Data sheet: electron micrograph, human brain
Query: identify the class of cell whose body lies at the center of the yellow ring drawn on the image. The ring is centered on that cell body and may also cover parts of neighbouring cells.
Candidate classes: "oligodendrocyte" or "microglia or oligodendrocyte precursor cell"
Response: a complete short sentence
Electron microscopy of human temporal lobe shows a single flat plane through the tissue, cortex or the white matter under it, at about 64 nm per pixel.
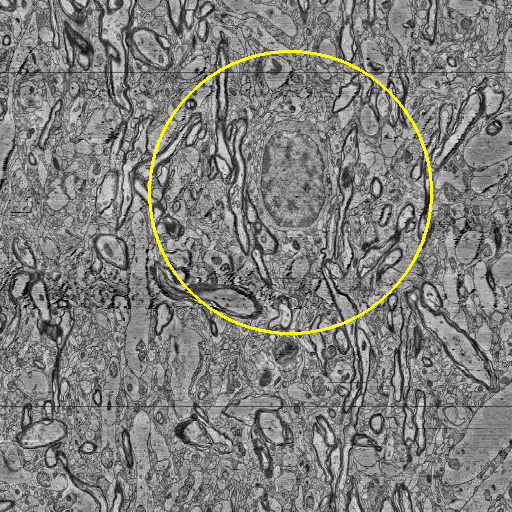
At the center of the ring lies an oligodendrocyte.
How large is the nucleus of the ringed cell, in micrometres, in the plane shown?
About 6 by 4 micrometers for the nucleus, in this plane.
